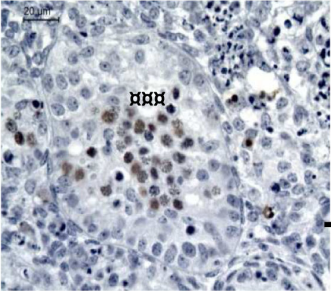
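A large seminiferous tubule of testicular tissue is seen, with a dense cluster of brown-stained germ cell nuclei towards its centre. Many of these nuclei are dark and clumpy, mixed with paler brown ones. Blue nuclei line the periphery of the tubule, and outside it the interstitium is crowded with small dark blue nuclei.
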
